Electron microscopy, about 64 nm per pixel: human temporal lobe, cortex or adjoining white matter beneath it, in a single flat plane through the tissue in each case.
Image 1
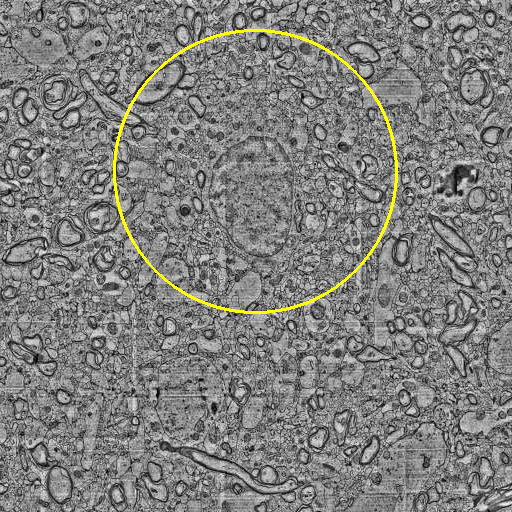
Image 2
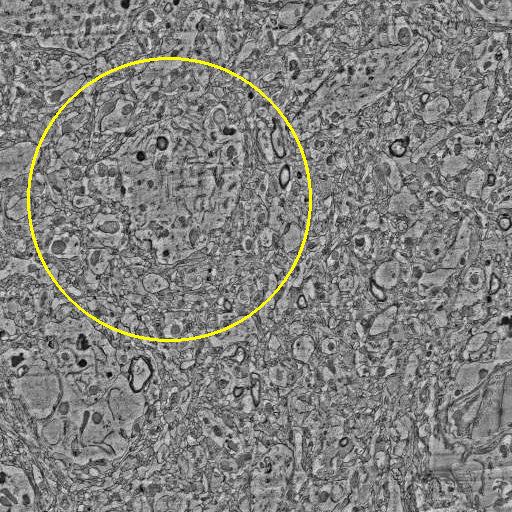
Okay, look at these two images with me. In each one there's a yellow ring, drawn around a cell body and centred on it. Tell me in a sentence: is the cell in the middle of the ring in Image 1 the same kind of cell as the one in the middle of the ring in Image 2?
No, they're two kinds of cell.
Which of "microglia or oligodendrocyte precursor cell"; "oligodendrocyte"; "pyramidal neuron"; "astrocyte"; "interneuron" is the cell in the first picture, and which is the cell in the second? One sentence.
The two differ: the first cell is an oligodendrocyte and the second is a pyramidal neuron.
